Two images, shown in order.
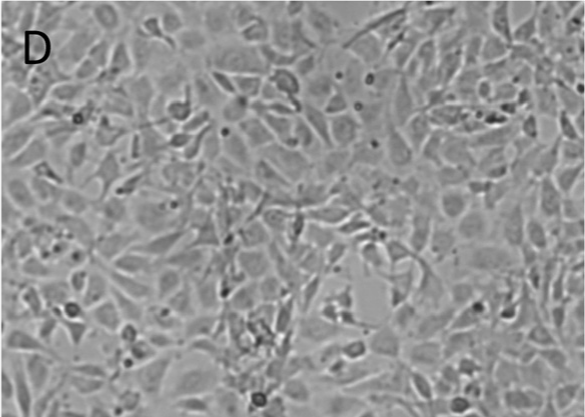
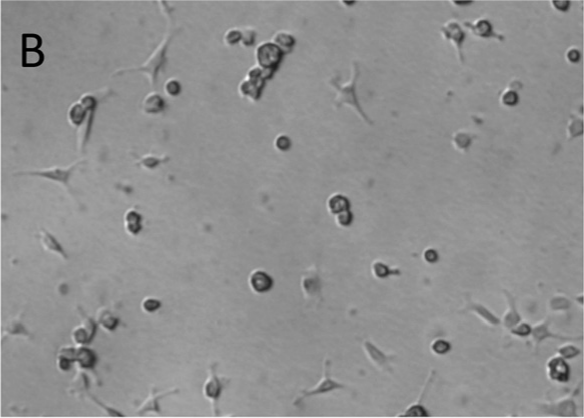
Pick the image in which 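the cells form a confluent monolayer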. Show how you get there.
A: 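Second image: scattered small rounded or spindle-shaped cells with wide empty substrate between them. First image: flat polygonal cells touching one another across the whole field.
Conclusion: the first image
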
